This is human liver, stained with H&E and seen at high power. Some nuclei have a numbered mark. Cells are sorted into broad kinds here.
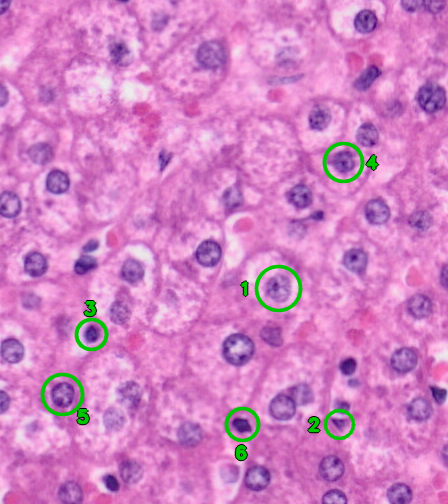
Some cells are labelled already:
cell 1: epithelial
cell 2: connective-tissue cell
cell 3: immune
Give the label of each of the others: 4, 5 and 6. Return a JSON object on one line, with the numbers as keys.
{"4": "epithelial", "5": "epithelial", "6": "connective-tissue cell"}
